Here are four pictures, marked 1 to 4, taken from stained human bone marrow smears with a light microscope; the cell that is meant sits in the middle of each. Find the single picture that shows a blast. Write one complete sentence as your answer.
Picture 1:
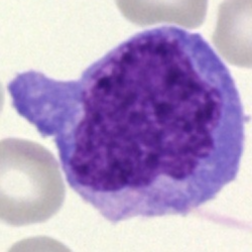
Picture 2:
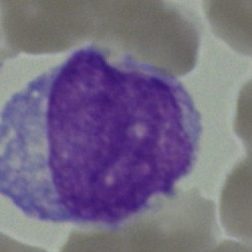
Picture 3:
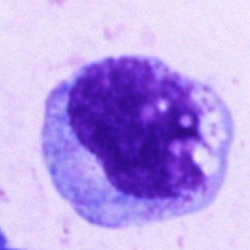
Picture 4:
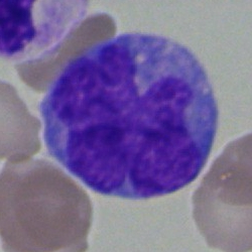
It is picture 1 that shows the blast.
